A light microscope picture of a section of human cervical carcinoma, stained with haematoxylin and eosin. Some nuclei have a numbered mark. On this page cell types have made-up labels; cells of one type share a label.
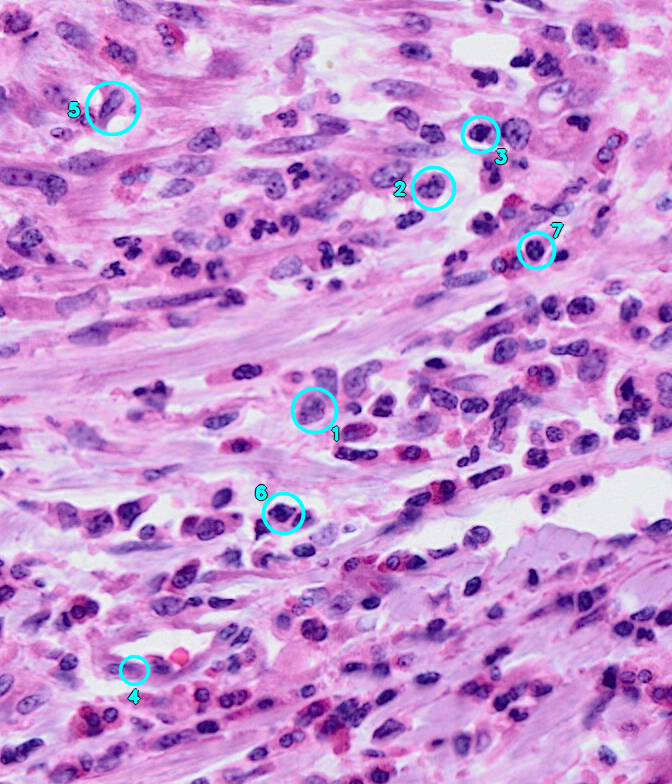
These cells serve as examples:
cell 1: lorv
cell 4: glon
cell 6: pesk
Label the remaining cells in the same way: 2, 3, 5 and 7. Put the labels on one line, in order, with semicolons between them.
lorv; pesk; lorv; pesk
